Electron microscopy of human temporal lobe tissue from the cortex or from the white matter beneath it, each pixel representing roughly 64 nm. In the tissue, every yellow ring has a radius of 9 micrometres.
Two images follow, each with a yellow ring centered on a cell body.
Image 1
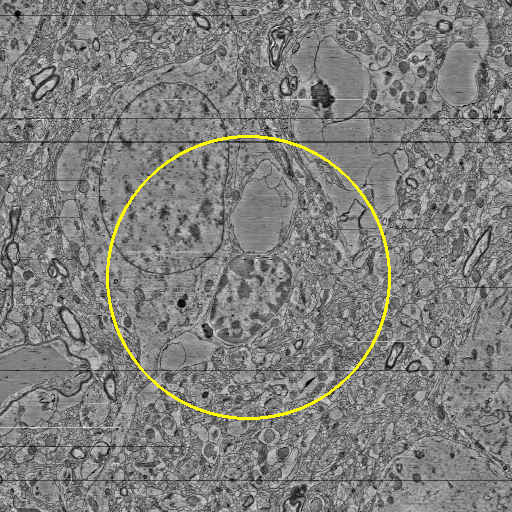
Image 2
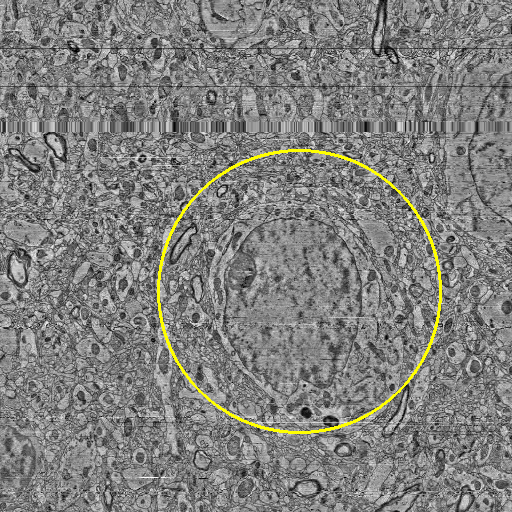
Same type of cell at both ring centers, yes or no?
no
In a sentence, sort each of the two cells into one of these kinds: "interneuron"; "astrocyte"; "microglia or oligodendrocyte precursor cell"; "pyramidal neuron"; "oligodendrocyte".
The first of the two cells is a microglial cell or oligodendrocyte precursor cell, and the second is an interneuron.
